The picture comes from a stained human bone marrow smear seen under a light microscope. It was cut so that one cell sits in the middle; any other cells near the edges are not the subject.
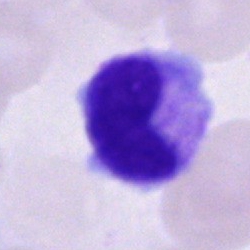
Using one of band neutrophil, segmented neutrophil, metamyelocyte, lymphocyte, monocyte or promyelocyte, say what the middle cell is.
metamyelocyte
